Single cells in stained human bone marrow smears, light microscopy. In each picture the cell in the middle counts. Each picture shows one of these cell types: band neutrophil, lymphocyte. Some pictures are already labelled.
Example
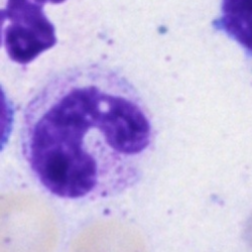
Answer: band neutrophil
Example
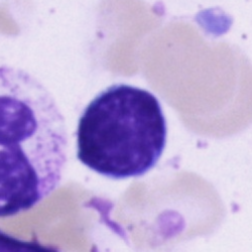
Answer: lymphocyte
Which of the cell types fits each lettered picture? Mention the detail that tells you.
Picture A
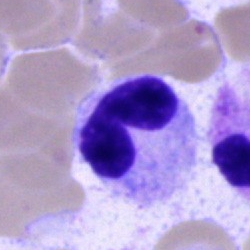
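Label: band neutrophil. The cytoplasm is plentiful and pale lilac-blue.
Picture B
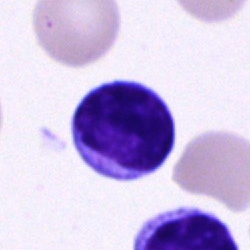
Label: lymphocyte. The nucleus fills almost the whole cell, leaving very little cytoplasm.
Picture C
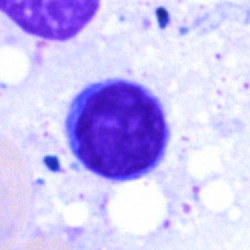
Label: lymphocyte. The nucleus fills almost the whole cell.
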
